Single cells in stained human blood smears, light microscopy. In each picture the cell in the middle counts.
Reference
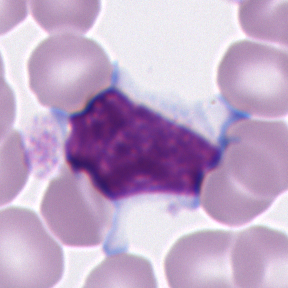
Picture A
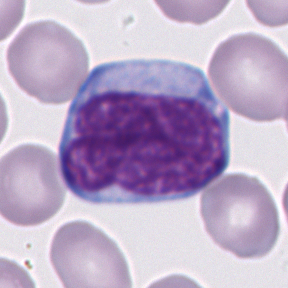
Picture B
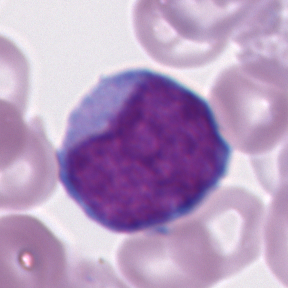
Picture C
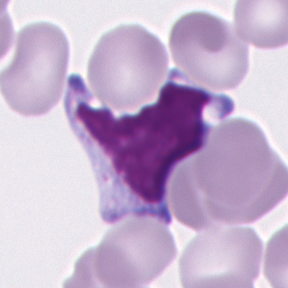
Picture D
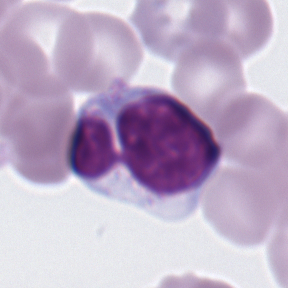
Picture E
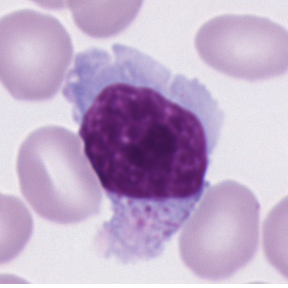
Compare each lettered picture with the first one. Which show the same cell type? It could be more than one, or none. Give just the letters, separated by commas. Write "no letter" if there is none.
C, D, E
